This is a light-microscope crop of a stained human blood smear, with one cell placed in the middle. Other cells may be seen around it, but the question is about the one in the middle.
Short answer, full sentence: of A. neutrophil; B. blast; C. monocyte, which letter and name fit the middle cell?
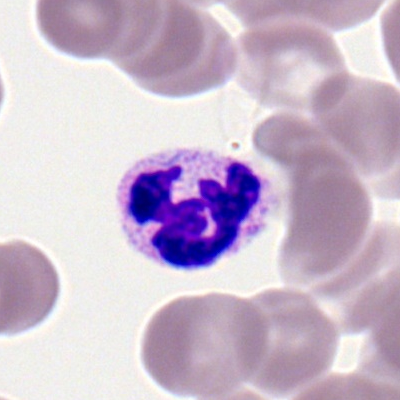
The central cell, a neutrophil, is correctly identified by option A.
